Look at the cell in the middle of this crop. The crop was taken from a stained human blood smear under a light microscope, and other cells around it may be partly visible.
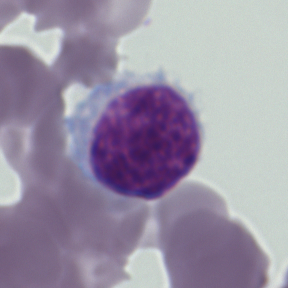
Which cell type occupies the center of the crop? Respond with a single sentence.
Located at the centre of the crop is a hairy cell.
